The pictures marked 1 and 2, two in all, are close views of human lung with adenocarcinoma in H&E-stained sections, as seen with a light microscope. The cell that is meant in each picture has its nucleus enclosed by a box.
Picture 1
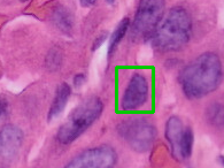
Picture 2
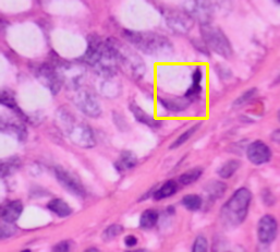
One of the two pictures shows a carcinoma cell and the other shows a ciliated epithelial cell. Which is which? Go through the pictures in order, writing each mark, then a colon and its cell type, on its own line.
1: carcinoma cell
2: ciliated epithelial cell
